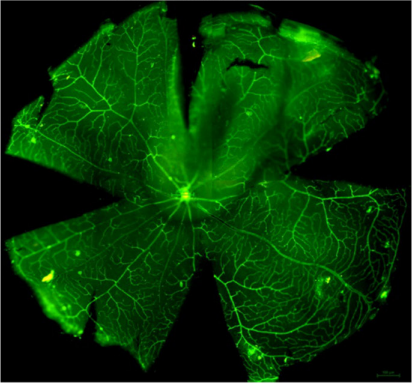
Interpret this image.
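A whole retina has been cut into four petals and laid flat, and bright green lines run out from a point at its centre toward the rim. These thicker lines branch again and again into a fine mesh of thin green threads that fills the space between them across each petal. The central point is where the vessels enter at the optic disc, and the pattern of large radiating vessels feeding a capillary network is the blood vessel tree of the retina. Individual cells cannot be made out at this magnification, only the layout of the vessels.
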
